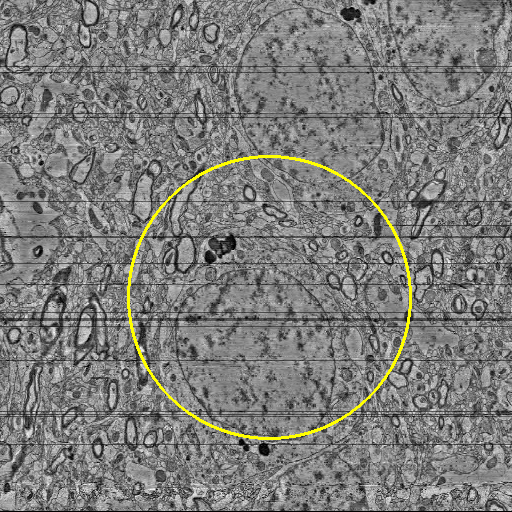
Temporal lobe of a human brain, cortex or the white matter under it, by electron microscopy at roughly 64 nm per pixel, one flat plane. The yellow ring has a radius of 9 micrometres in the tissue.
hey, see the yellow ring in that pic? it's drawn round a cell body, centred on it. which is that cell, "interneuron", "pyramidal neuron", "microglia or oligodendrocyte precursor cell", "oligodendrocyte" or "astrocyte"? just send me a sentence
The cell in the ring is a pyramidal neuron.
